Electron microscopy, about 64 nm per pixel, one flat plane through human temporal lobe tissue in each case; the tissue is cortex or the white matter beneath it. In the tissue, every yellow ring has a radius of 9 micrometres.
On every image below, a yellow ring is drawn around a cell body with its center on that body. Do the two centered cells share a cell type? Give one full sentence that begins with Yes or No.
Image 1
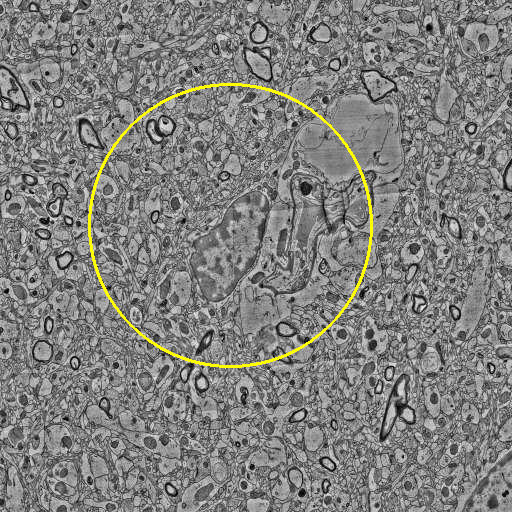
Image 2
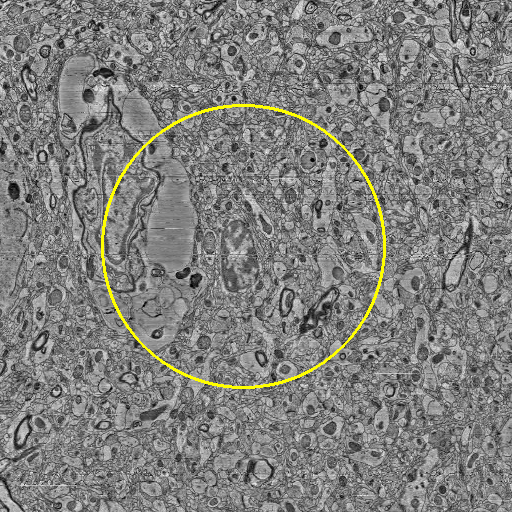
Yes, the centered cells in the two images are of a single cell type.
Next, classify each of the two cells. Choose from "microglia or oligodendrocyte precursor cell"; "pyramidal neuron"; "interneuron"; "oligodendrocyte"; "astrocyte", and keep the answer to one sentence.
In both pictures the ring is centred on a microglial cell or oligodendrocyte precursor cell.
